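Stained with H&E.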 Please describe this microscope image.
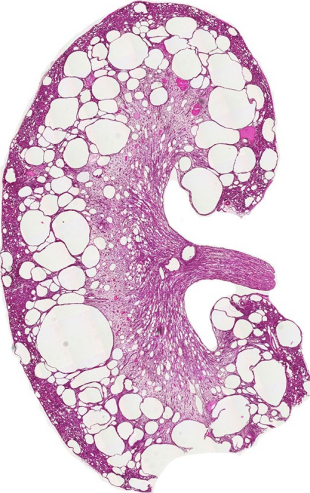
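This is a whole kidney section in which the cortex and outer medulla are largely replaced by many round, clear, fluid-filled cysts of varying size, separated by thin pink septa of compressed tissue. The central medulla keeps its paler, radially striated pattern, and a papilla extends into the hilum, but the normal architecture of the cortex is badly disrupted.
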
